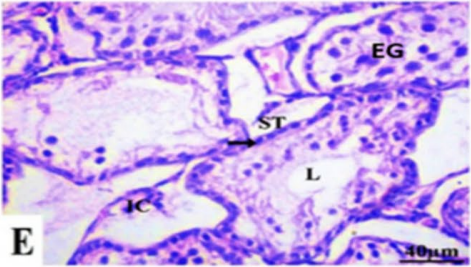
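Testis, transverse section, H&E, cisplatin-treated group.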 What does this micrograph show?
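These are damaged seminiferous tubules with a thin, sparse germinal epithelium and wide, nearly empty lumina. Only scattered cells with dark nuclei remain along the tubule walls, and loose detached cells lie free in a lumen. Clear gaps separate the tubules, with little interstitial tissue between them.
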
